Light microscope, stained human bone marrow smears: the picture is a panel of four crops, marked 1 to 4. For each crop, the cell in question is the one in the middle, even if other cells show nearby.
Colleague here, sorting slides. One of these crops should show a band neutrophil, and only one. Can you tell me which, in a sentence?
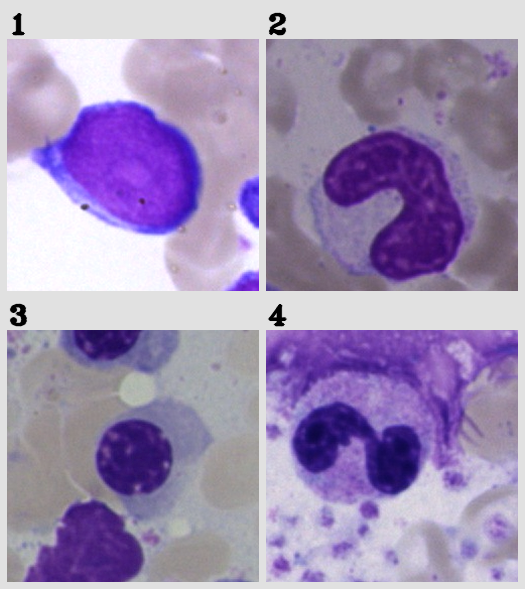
The requested cell, a band neutrophil, is the one in crop 2.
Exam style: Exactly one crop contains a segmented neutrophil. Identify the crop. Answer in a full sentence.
The cell identified as a segmented neutrophil is the one in crop 4.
